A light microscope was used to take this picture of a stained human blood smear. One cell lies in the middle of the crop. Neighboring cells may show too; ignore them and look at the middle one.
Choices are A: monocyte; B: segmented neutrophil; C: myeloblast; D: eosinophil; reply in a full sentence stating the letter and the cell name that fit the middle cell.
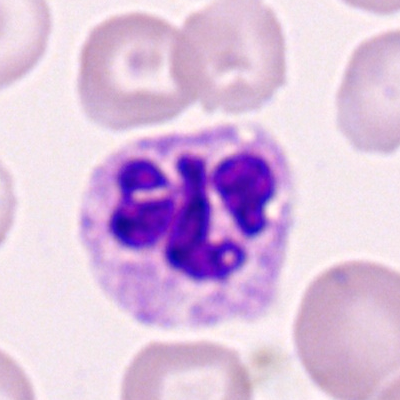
The one cell at the centre is a segmented neutrophil, as correctly stated in option B.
